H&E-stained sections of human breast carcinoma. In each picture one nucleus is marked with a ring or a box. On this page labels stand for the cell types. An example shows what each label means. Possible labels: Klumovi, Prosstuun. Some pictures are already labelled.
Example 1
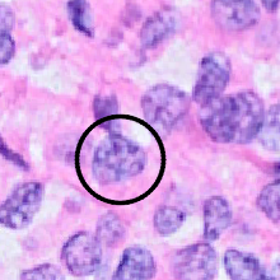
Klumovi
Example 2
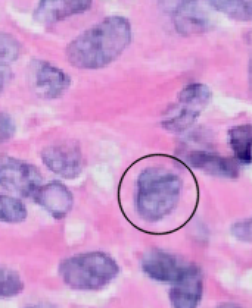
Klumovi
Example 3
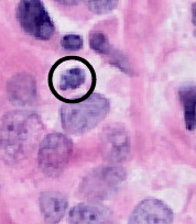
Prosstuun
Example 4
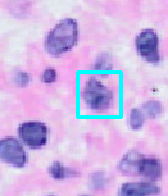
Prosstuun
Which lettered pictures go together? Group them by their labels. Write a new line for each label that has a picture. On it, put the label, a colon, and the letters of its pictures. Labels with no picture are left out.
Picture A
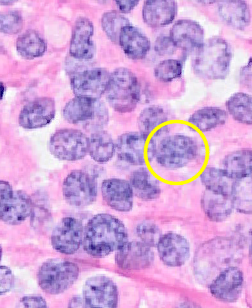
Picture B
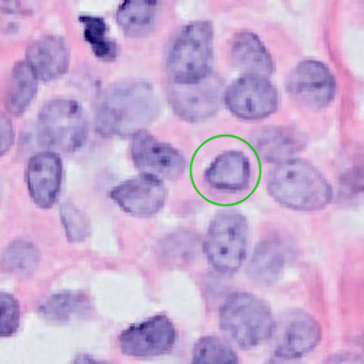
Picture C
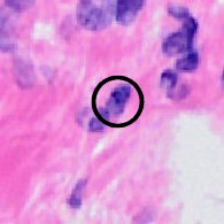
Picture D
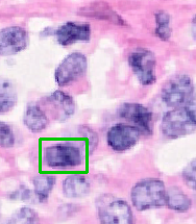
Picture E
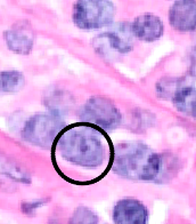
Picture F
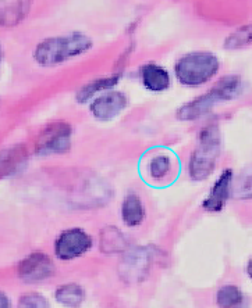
Klumovi: A, B, D, E
Prosstuun: C, F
